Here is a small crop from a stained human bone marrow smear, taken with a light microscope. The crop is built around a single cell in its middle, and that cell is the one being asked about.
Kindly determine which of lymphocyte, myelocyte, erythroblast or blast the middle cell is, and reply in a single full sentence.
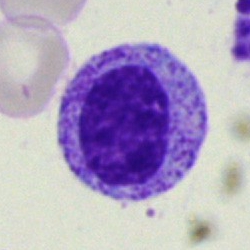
The cell at the central position in this crop is a myelocyte.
